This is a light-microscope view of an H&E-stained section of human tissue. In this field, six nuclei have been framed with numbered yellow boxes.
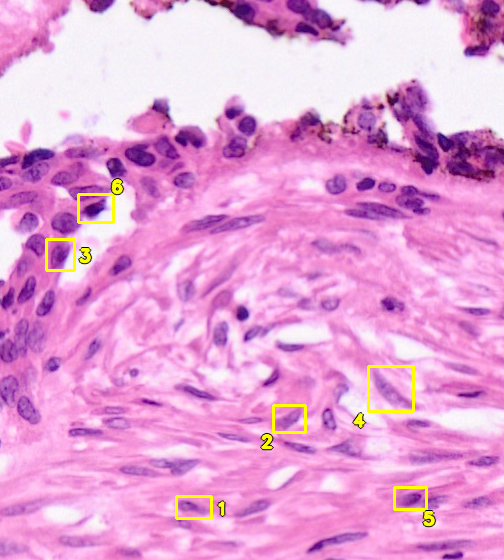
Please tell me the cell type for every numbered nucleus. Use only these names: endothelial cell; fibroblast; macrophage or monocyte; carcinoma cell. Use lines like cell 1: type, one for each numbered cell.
cell 1: fibroblast
cell 2: fibroblast
cell 3: carcinoma cell
cell 4: fibroblast
cell 5: fibroblast
cell 6: carcinoma cell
